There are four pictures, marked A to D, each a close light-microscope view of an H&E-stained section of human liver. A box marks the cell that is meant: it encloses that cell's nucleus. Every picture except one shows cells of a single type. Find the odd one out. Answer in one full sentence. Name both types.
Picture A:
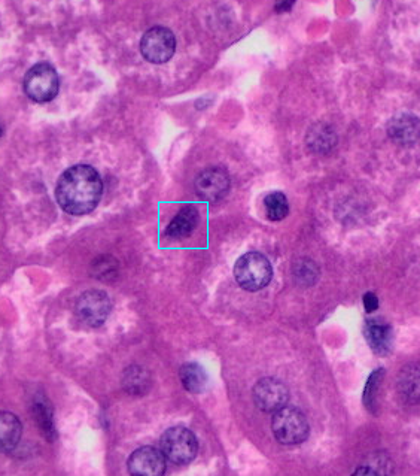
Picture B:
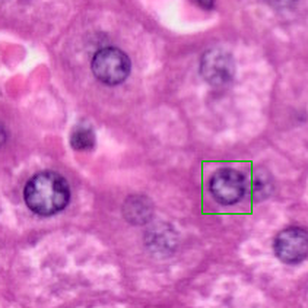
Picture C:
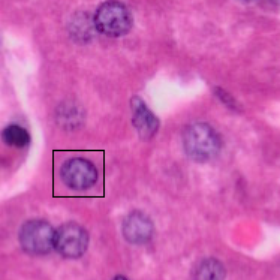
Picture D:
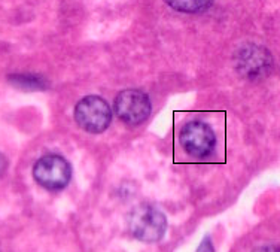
The different one is picture A; it shows a “fibroblast or stellate cell”, whereas all the others show hepatocytes.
